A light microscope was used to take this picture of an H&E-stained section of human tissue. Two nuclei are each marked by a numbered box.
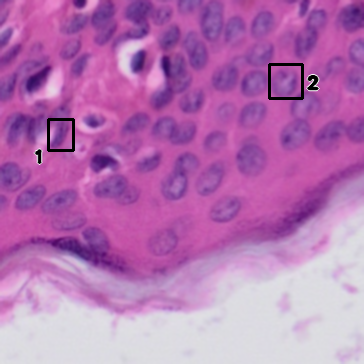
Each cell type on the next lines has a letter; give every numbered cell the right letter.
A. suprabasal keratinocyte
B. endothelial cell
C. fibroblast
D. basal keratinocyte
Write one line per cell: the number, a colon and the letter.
1: D
2: A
